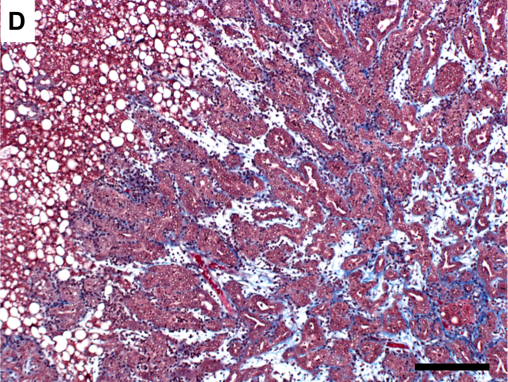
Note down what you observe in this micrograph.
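Most of this field is liver tumor tissue built of gland-like structures, with a strip of fatty liver at the upper left. In the upper left corner the cells contain many clear round fat vacuoles, like steatotic liver. The rest of the field is taken up by elongated, branching tubes and cords of tumor cells with red-purple cytoplasm, giving the tissue a glandular look. Between these structures lies a pale, loose stroma with scattered small dark nuclei.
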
